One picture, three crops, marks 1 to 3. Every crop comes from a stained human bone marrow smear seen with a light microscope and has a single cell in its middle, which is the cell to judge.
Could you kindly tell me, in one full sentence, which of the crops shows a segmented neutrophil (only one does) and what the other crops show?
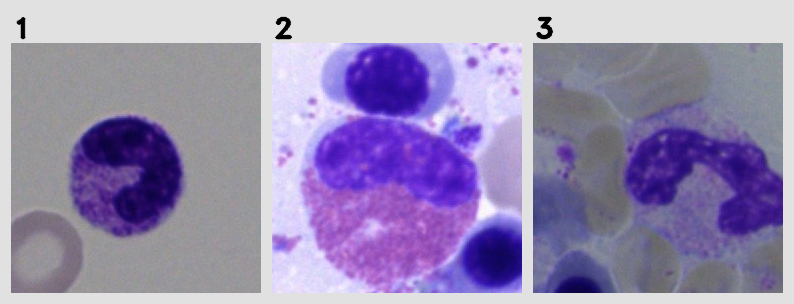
Crop 3 corresponds to a segmented neutrophil, whereas crop 1 is a band neutrophil and crop 2 is an eosinophil.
